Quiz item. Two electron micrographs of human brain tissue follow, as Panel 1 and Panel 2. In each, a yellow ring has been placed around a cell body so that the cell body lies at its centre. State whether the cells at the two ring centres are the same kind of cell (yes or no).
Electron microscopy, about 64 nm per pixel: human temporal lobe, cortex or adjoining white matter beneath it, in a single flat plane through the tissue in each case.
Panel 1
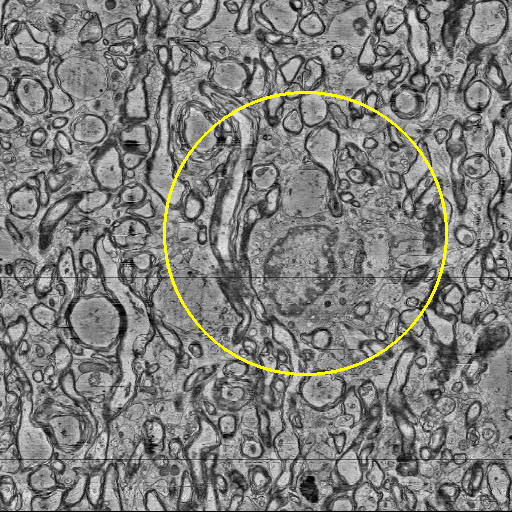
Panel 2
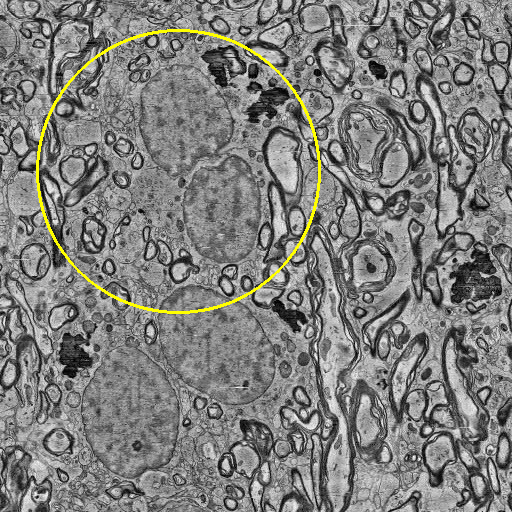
yes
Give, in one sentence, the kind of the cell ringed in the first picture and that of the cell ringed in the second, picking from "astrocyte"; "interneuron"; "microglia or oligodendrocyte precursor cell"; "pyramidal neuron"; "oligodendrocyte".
Both rings mark an oligodendrocyte, one in each picture.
